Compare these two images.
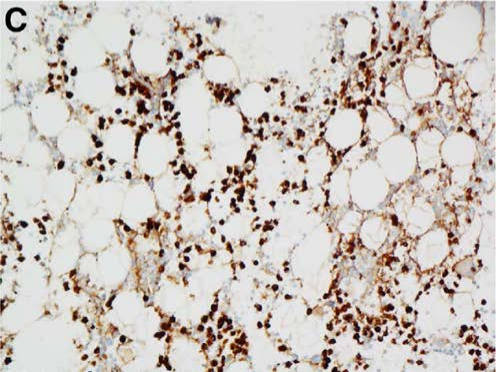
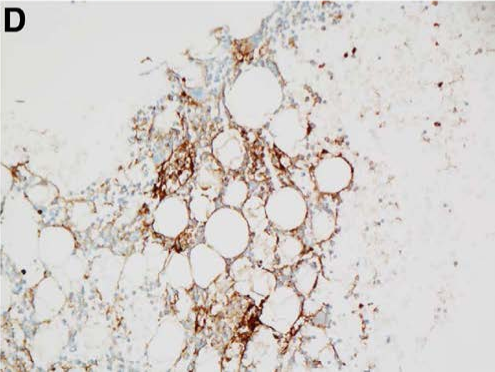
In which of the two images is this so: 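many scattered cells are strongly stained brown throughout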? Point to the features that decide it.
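The first image. First image: many individual cells across the field are dark brown.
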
